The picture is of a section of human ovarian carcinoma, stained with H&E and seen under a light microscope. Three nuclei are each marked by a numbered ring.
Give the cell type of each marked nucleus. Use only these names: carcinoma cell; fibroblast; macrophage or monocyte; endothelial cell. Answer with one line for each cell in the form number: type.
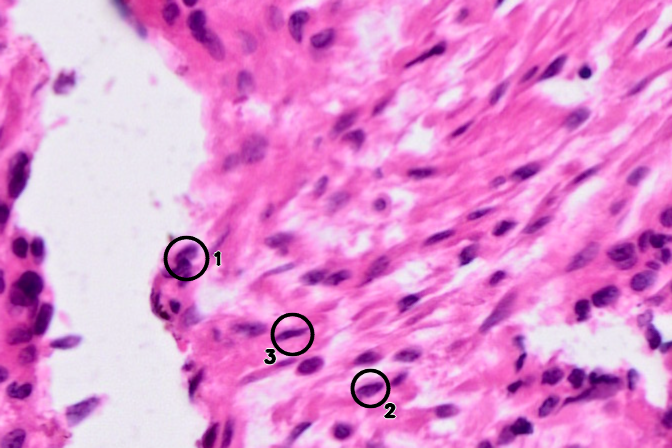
1: macrophage or monocyte
2: fibroblast
3: fibroblast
